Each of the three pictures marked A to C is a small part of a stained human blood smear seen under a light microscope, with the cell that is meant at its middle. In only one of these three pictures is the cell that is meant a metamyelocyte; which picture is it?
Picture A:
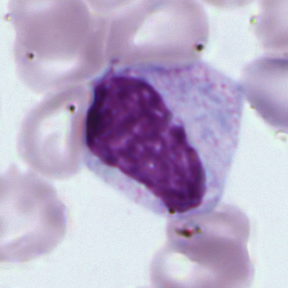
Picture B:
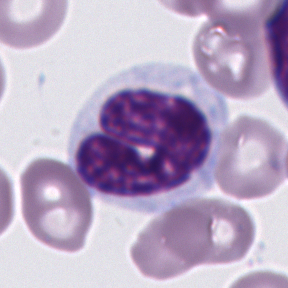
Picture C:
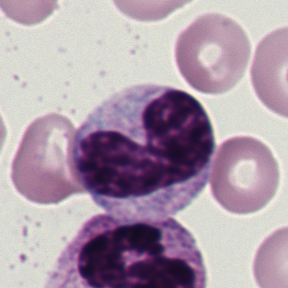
A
